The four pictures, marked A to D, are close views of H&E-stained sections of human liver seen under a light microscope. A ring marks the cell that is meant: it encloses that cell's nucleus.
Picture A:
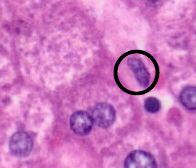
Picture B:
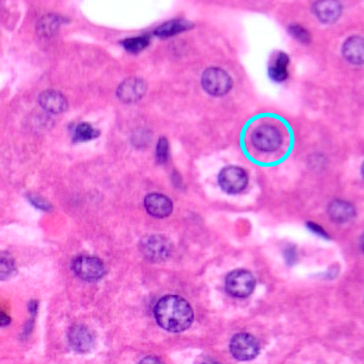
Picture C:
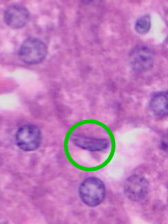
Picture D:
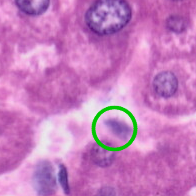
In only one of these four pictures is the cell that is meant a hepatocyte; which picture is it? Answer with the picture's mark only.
B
